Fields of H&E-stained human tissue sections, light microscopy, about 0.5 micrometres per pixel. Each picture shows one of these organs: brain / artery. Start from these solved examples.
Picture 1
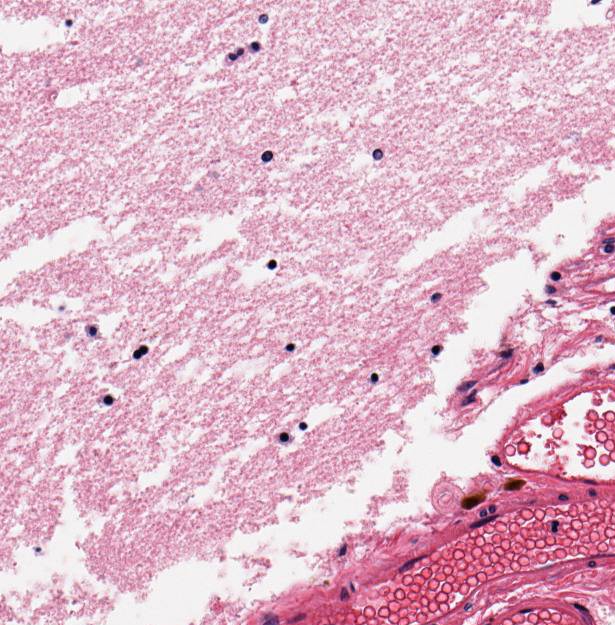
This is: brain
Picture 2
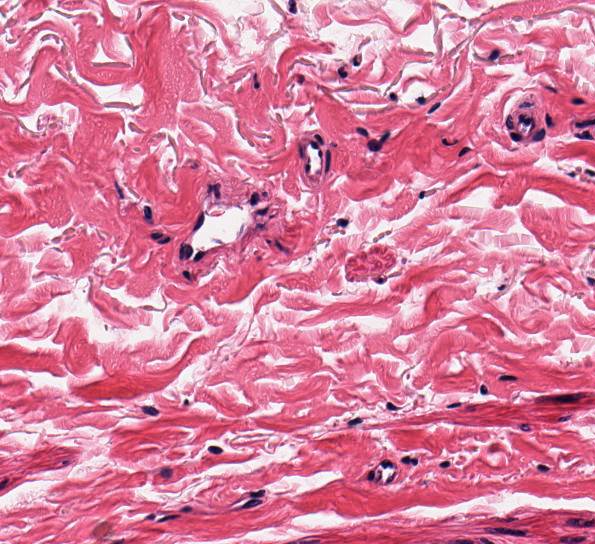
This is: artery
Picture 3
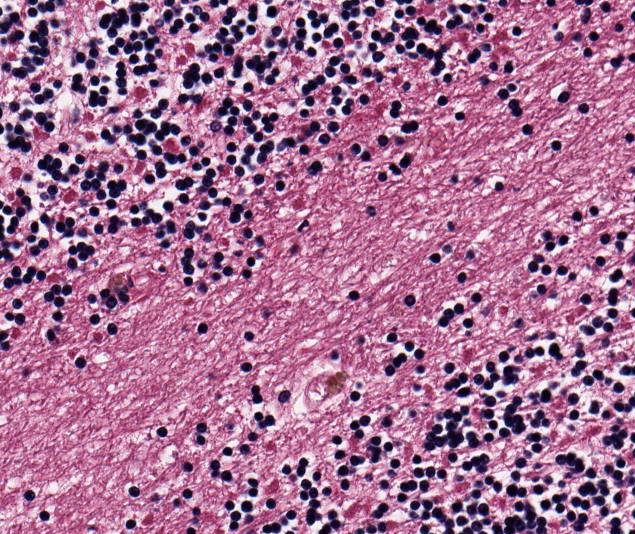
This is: brain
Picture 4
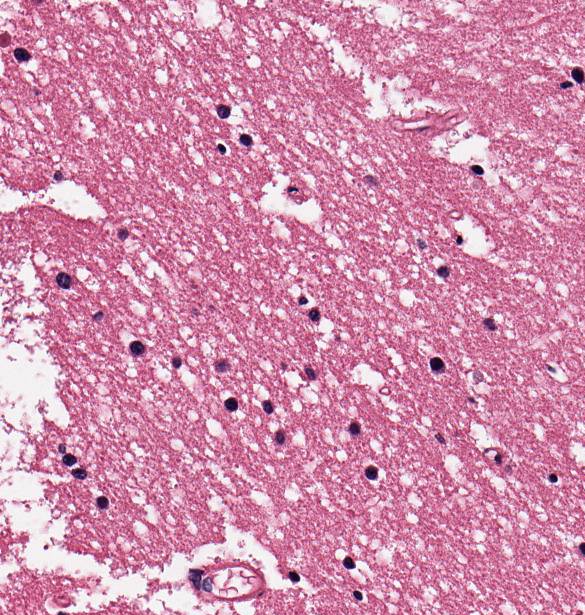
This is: brain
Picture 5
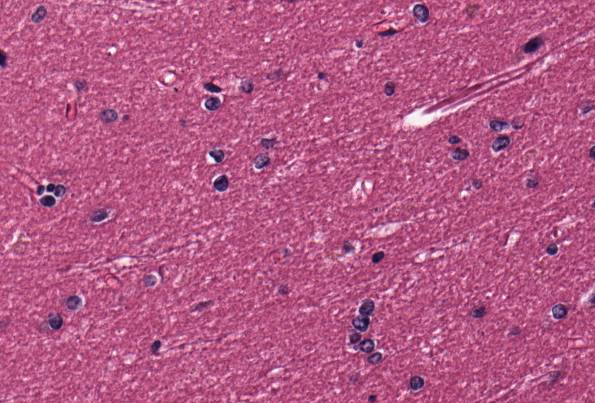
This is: brain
